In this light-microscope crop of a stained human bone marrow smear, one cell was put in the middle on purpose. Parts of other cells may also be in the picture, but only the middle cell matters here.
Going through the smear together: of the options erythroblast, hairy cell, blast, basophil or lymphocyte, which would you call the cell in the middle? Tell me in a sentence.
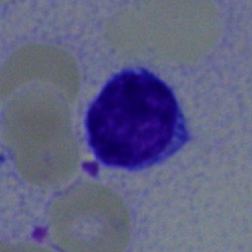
The centered cell in this crop is a lymphocyte.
